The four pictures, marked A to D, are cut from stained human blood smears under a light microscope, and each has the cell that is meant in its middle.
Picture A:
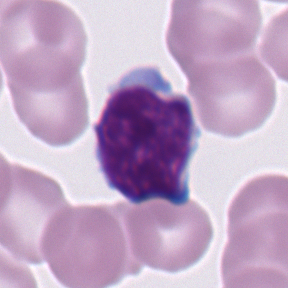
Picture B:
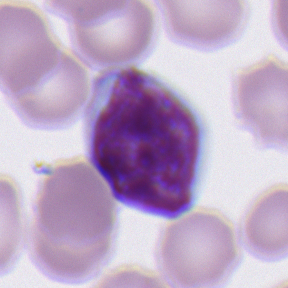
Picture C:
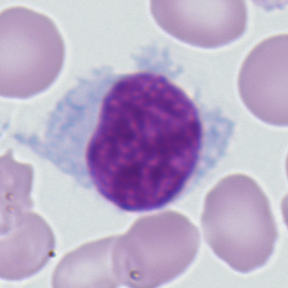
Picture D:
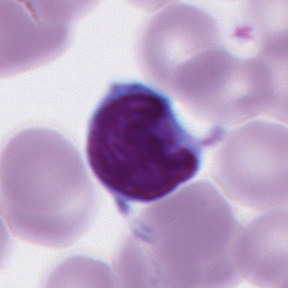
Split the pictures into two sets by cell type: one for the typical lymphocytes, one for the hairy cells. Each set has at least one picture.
A: typical lymphocyte
B: typical lymphocyte
C: hairy cell
D: typical lymphocyte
